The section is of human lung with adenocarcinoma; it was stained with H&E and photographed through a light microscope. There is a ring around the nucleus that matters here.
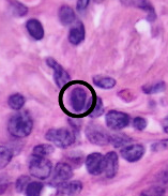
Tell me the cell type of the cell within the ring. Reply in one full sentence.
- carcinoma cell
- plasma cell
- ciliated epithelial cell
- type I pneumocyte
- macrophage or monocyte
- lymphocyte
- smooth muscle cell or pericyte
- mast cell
This is a lymphocyte.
